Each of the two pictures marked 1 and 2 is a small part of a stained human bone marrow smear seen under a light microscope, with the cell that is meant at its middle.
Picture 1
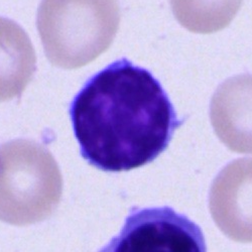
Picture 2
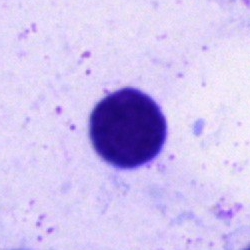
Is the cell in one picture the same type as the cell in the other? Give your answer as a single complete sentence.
Yes, both cells are lymphocytes.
